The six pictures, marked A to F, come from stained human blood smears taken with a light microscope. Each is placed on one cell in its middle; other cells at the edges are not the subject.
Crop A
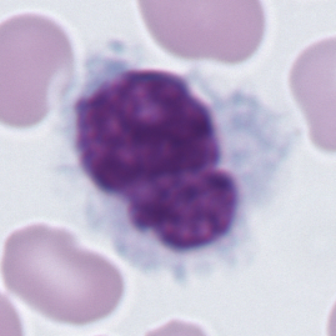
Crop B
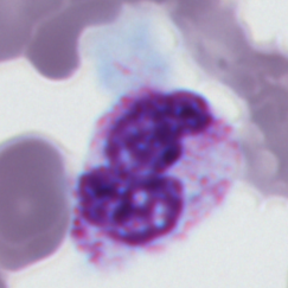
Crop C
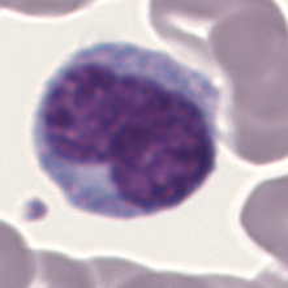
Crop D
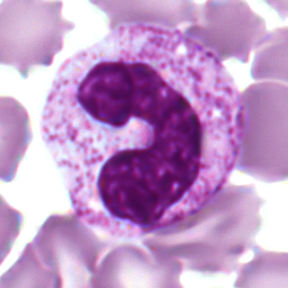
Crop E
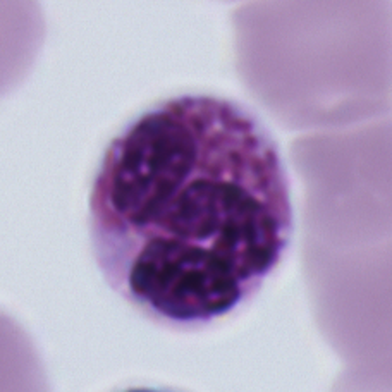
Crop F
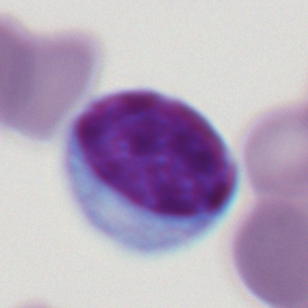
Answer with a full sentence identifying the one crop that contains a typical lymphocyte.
Crop F is the single crop that shows a typical lymphocyte.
